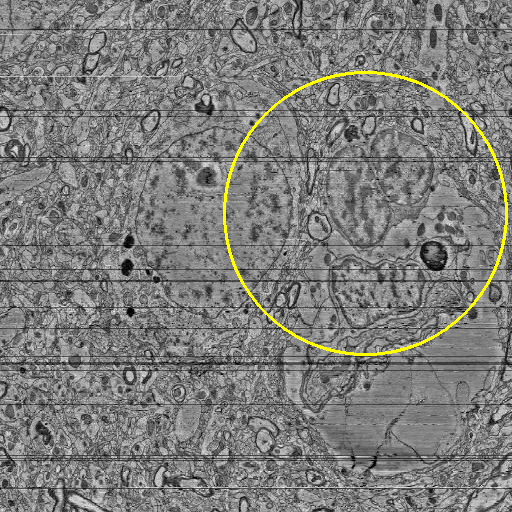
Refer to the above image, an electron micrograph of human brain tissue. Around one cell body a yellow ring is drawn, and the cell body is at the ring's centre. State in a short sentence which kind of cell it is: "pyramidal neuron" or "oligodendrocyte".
The centre of the ring falls on an oligodendrocyte.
